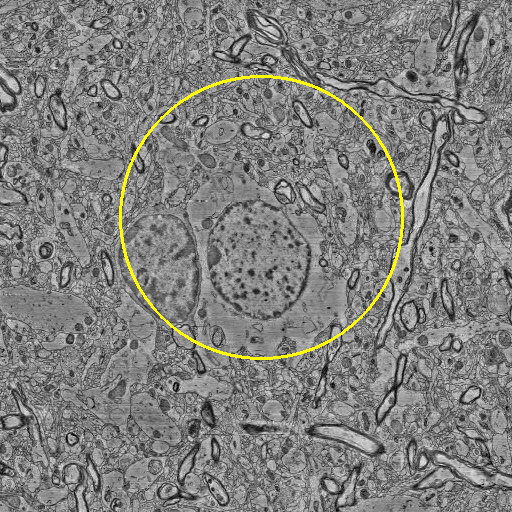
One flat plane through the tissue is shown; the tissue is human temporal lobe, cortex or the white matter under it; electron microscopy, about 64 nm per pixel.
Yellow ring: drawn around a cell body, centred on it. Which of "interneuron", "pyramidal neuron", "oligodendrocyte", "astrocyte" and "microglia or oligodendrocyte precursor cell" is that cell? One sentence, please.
That cell body is from an astrocyte.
